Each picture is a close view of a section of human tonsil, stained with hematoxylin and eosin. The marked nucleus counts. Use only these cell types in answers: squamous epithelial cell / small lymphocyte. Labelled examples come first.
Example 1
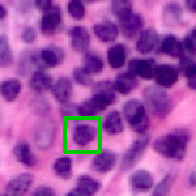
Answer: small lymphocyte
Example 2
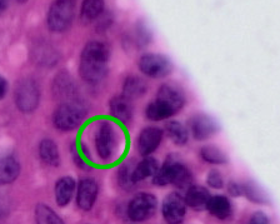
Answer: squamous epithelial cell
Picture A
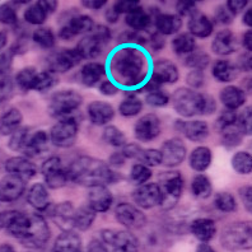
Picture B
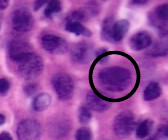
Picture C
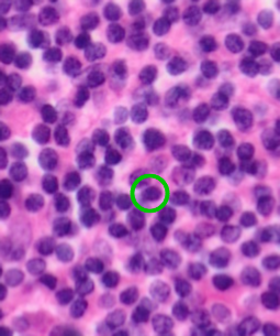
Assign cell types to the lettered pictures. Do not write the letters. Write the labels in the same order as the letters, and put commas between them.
small lymphocyte, squamous epithelial cell, small lymphocyte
